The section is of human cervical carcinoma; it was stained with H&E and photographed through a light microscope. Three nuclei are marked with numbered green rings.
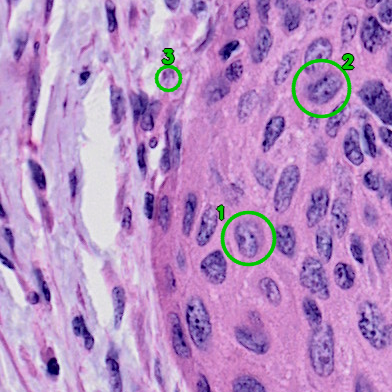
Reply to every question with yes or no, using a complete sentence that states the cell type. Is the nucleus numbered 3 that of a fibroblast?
Yes, the cell indicated by number 3 is a fibroblast.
